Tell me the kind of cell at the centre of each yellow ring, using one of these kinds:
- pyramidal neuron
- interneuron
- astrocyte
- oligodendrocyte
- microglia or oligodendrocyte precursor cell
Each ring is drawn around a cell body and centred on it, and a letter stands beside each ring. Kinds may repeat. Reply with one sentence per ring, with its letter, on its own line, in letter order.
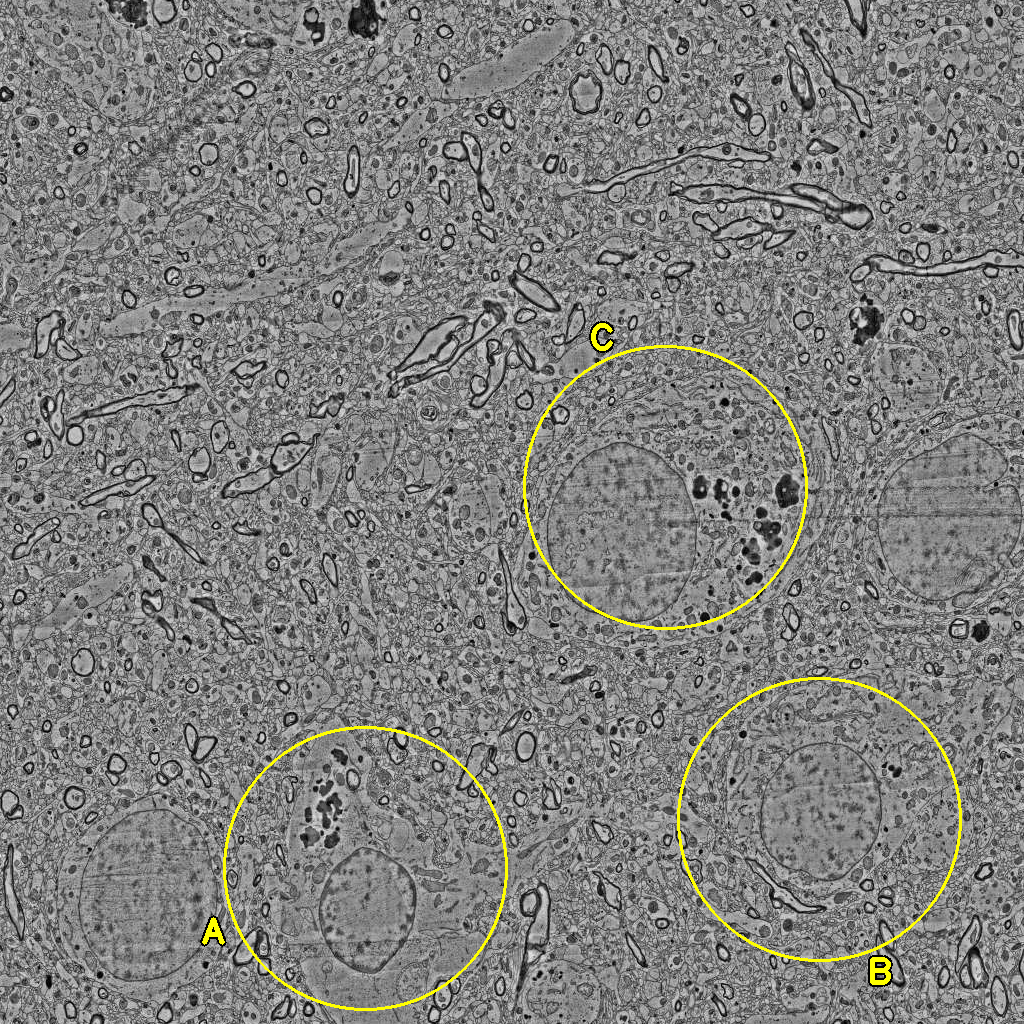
The ring labelled A is centred on an astrocyte.
The ring labelled B is centred on a pyramidal neuron.
The ring labelled C is centred on an interneuron.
